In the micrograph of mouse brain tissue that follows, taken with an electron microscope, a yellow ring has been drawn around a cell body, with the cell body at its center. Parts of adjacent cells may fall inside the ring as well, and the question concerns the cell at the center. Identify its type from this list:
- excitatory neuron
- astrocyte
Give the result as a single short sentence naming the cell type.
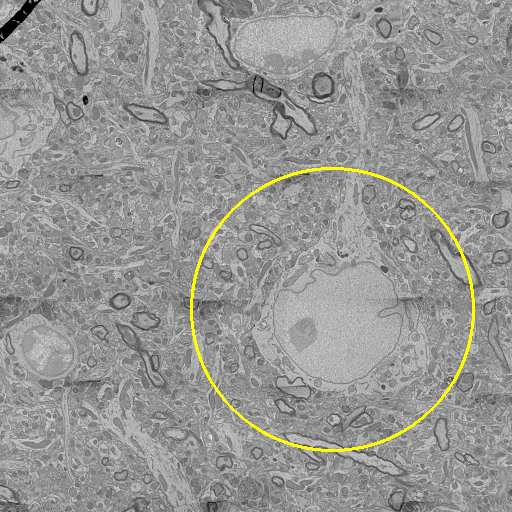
The ring is centered on an excitatory neuron.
